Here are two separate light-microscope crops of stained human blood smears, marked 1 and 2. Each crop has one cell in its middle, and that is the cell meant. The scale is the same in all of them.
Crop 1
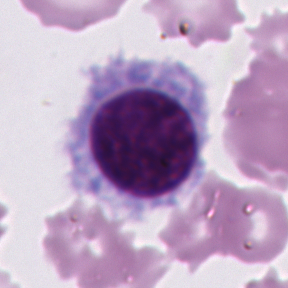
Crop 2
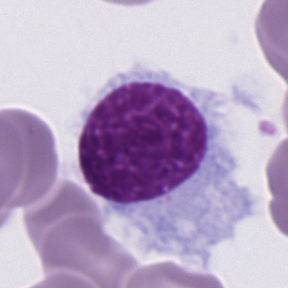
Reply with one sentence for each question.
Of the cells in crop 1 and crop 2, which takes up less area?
The cell in crop 1 is smaller; the one in crop 2 has about 1.5 times its area.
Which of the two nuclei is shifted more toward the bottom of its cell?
The nucleus in crop 1 lies further toward the bottom of its cell.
